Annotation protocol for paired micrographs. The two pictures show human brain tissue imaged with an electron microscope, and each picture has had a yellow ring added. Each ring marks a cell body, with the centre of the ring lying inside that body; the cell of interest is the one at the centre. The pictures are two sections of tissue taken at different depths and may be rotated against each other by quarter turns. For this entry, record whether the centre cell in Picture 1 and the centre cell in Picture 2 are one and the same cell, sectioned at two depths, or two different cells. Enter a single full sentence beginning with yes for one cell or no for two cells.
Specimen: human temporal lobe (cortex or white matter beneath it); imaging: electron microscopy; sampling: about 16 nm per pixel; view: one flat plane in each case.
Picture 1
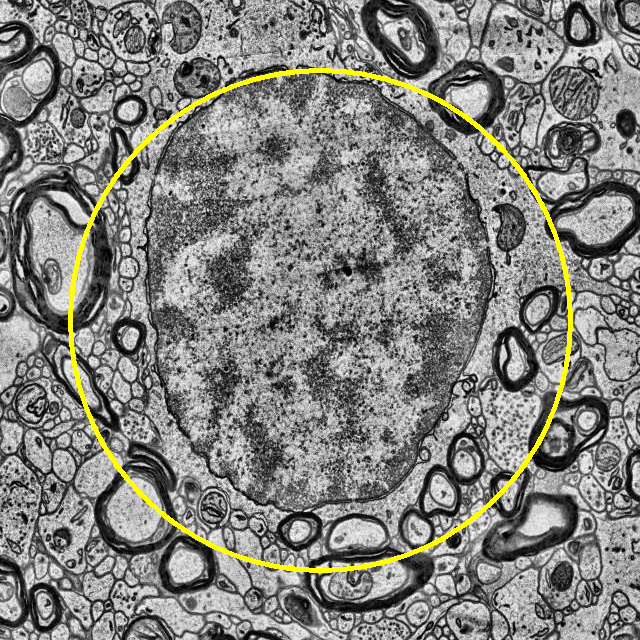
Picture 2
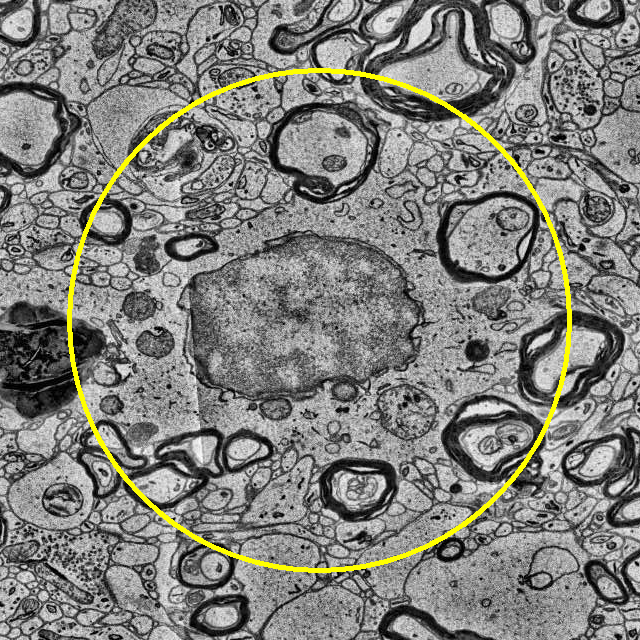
Yes, the cell marked in each ring is one and the same.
